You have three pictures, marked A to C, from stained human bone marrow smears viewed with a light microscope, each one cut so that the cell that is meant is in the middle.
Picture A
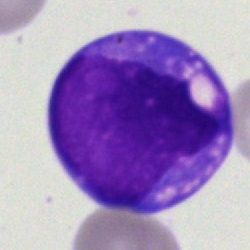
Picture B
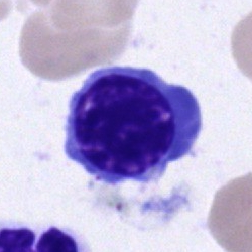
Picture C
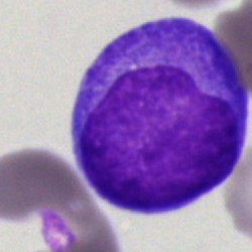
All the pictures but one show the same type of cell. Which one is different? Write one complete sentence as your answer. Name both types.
Picture B differs, because its cell is an erythroblast and the rest are blasts.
